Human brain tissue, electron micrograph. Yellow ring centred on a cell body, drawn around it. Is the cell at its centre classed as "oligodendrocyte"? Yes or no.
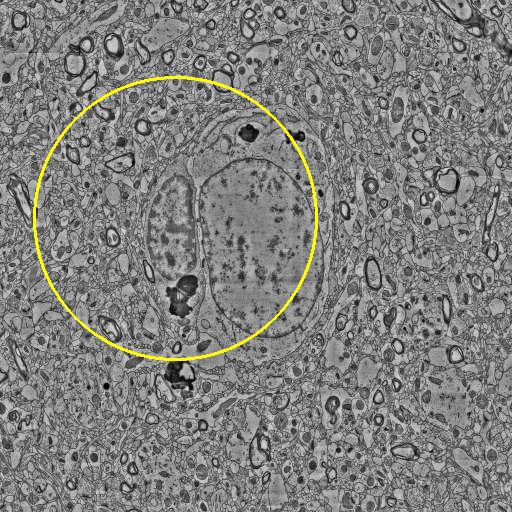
Yes, it is classed as that.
